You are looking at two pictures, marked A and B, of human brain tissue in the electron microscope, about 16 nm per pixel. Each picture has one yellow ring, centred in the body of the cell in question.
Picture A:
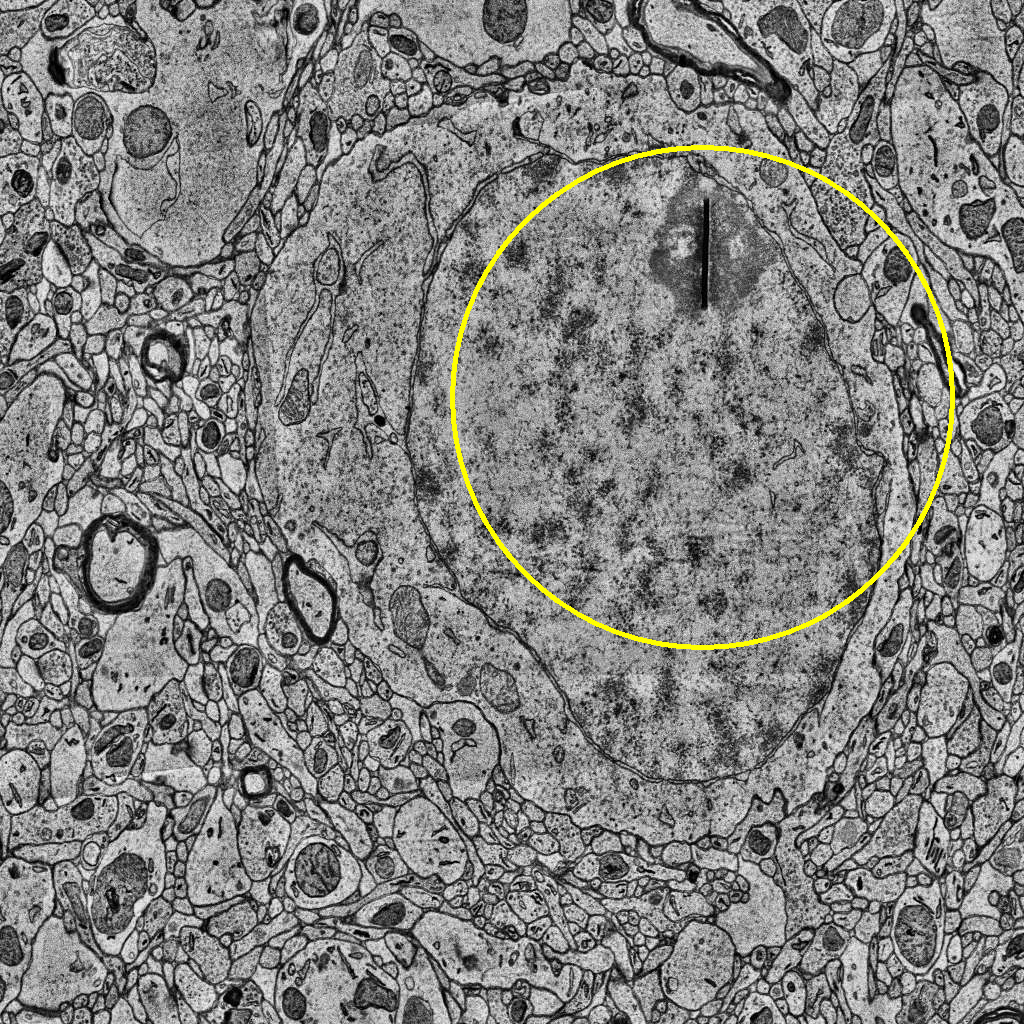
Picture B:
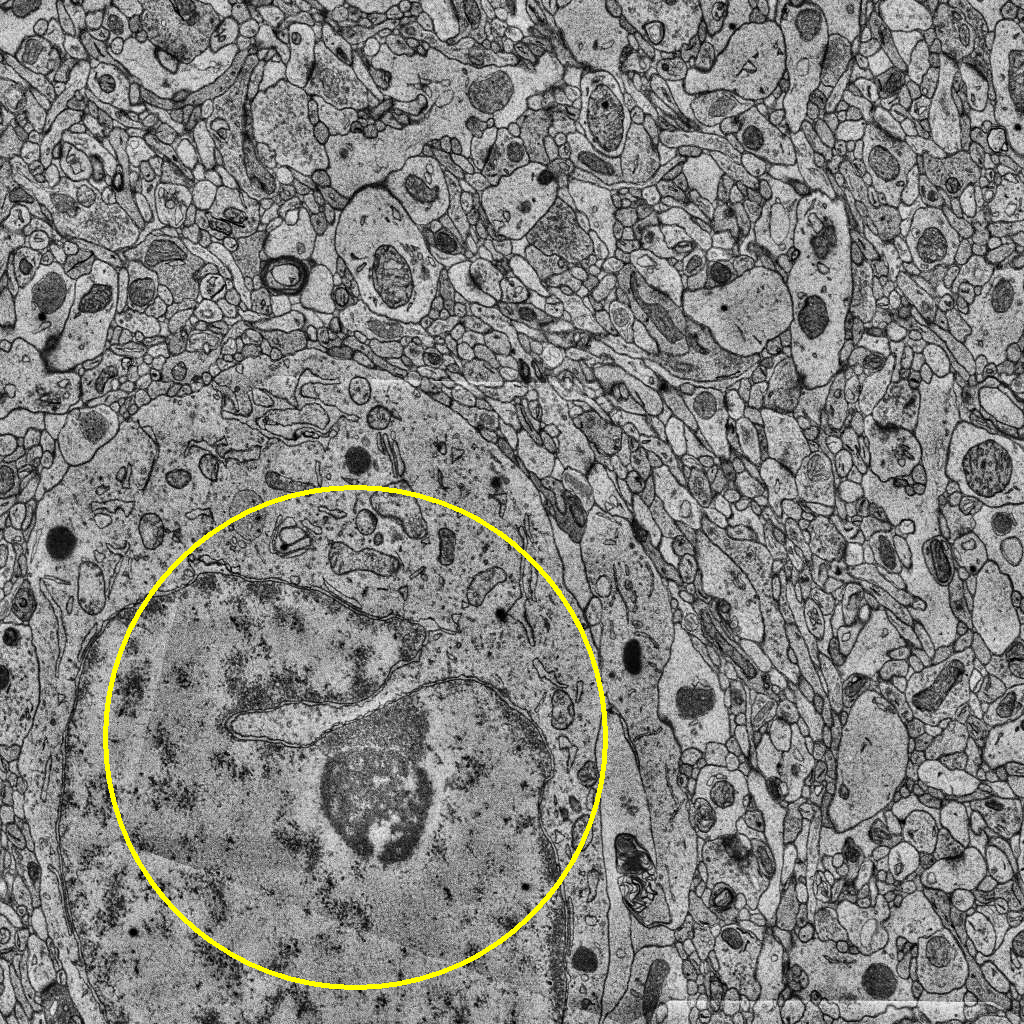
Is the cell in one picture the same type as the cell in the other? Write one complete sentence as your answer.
Yes; the cells in both pictures are interneurons.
